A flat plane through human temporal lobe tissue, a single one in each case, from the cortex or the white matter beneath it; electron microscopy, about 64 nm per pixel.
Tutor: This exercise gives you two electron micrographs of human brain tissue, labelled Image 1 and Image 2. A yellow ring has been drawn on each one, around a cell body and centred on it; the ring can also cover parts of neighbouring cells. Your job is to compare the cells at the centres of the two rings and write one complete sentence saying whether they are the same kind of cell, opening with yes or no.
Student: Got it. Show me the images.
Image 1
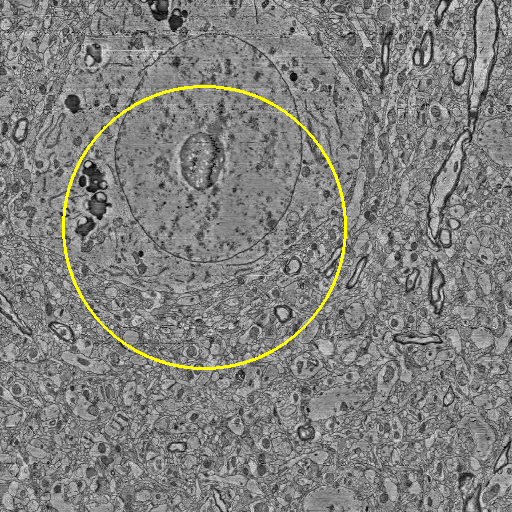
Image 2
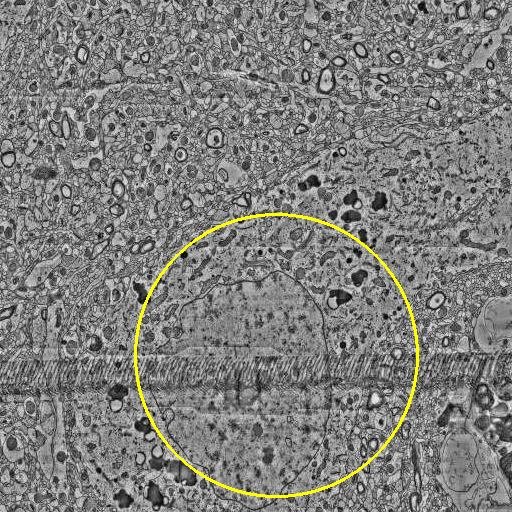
Yes, the two cells belong to the same kind.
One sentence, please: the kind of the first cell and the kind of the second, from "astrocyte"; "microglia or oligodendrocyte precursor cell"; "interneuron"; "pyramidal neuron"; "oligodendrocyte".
The cell at the ring centre is a pyramidal neuron in both pictures.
